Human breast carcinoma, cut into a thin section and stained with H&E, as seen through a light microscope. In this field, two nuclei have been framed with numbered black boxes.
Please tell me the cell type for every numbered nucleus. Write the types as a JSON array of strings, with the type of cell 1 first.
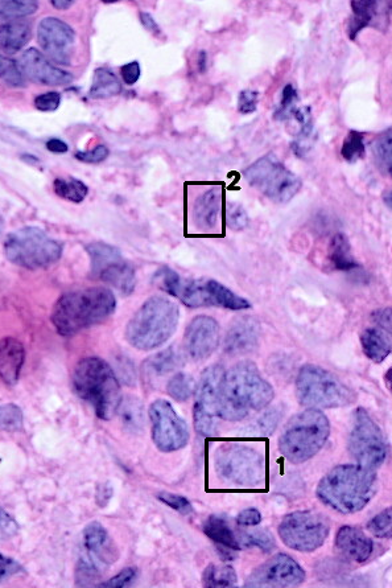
["carcinoma cell", "macrophage, monocyte or dendritic cell"]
